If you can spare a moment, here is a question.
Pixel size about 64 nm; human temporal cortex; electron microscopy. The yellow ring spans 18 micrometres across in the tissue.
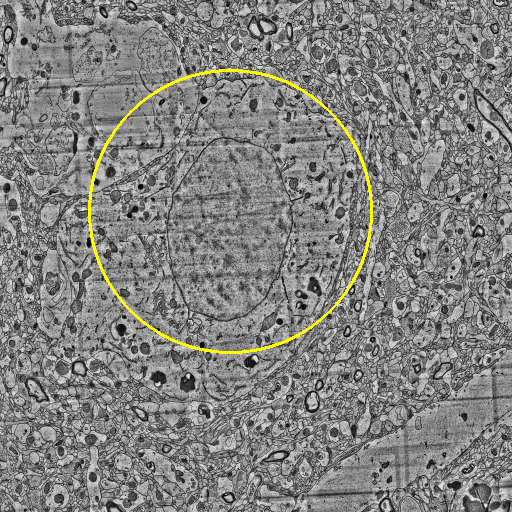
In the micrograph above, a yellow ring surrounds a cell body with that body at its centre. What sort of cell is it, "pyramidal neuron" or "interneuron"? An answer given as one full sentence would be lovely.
Centred inside the yellow ring, the cell body shown belongs to a pyramidal neuron in this micrograph.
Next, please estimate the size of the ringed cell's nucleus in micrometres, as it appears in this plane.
About 12 by 8 micrometres in this plane.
